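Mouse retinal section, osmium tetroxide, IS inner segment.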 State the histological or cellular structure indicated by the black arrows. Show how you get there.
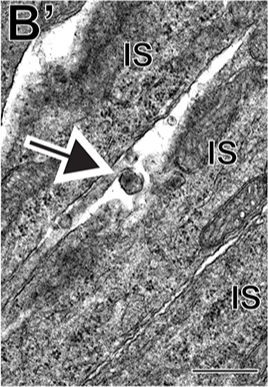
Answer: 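A small round membrane-bound body lies in a pale gap between inner segments. It is outside the neighbouring cell membranes.
Conclusion: extracellular vesicles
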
